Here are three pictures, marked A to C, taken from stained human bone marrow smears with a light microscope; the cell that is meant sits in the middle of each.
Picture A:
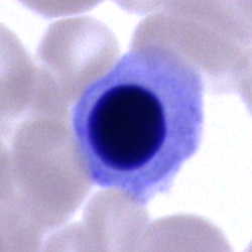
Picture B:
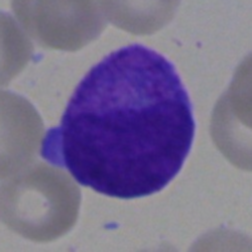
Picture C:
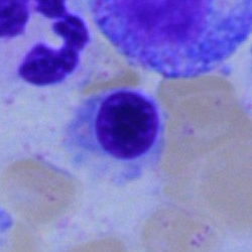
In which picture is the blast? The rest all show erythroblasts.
B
